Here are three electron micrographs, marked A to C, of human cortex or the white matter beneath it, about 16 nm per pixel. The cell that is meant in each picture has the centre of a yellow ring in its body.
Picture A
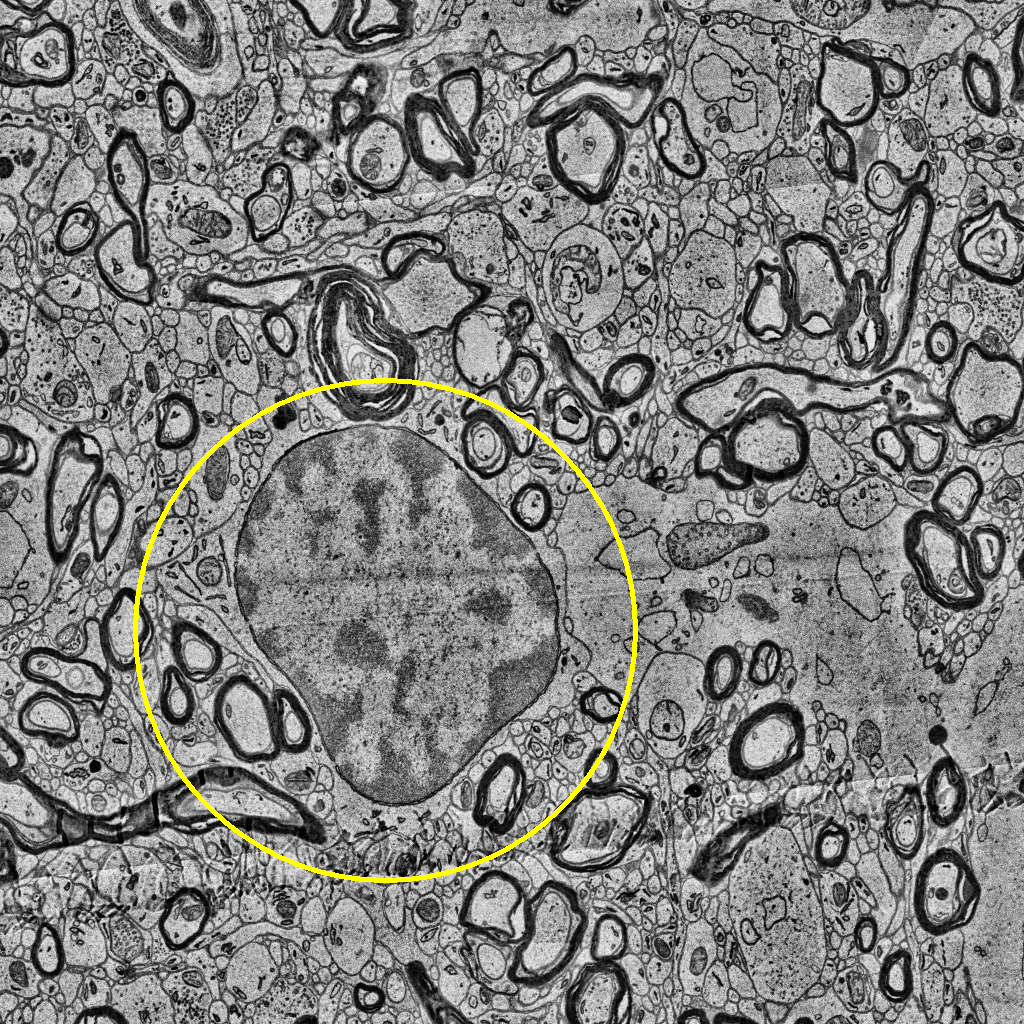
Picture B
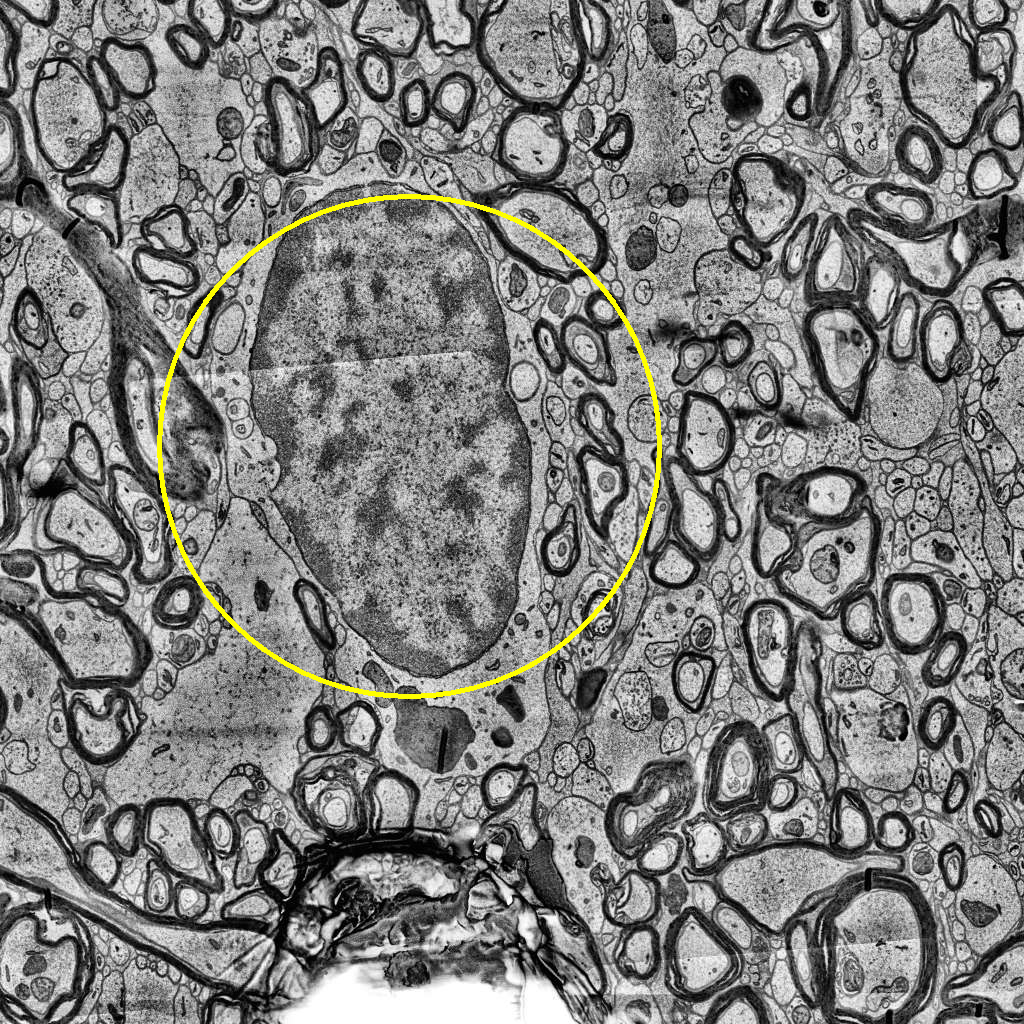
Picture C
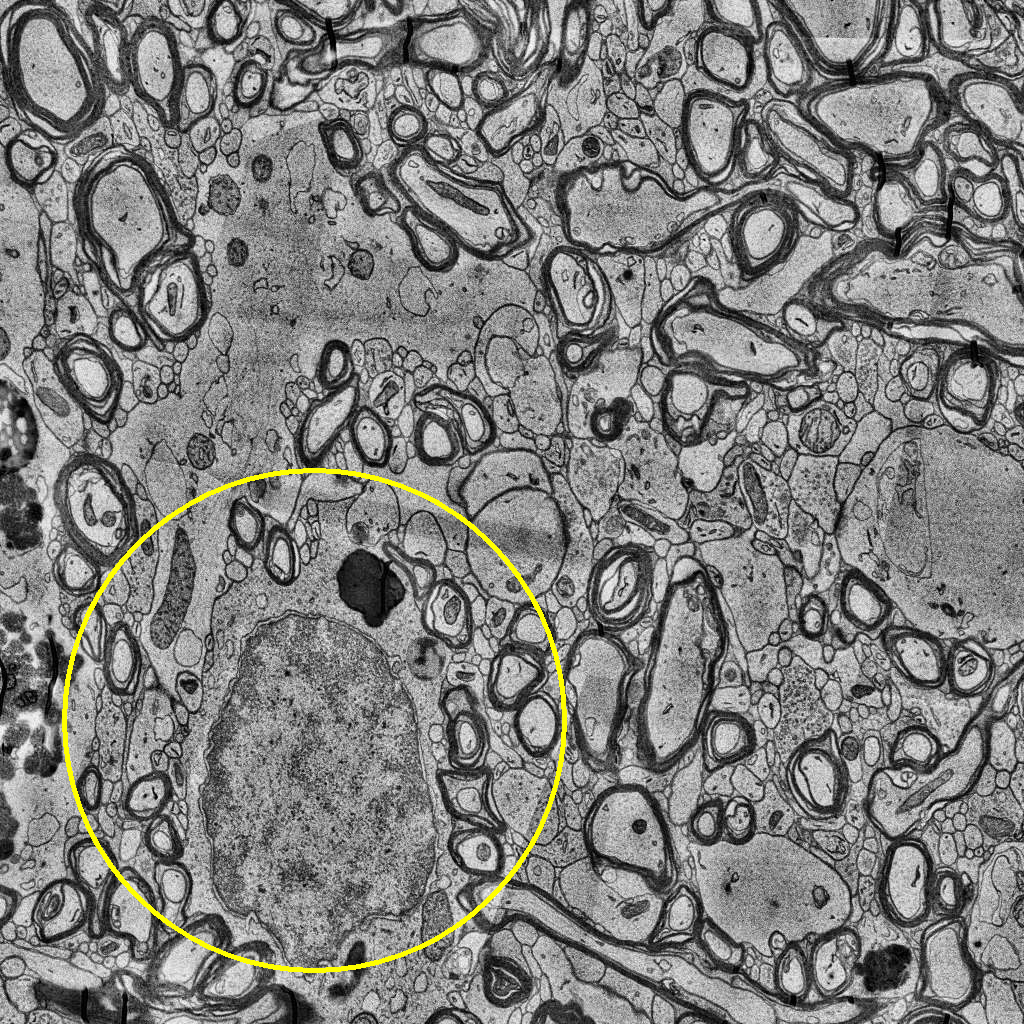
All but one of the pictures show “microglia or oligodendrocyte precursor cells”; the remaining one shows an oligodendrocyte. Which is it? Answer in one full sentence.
The cell in picture C is the oligodendrocyte.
